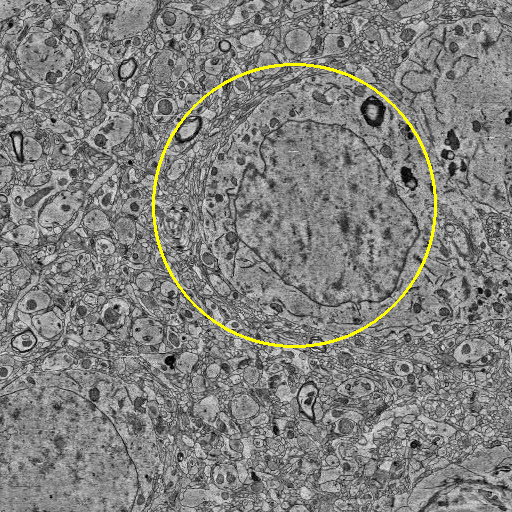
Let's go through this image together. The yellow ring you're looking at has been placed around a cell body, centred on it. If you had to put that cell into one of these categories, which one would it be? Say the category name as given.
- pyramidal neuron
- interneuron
pyramidal neuron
